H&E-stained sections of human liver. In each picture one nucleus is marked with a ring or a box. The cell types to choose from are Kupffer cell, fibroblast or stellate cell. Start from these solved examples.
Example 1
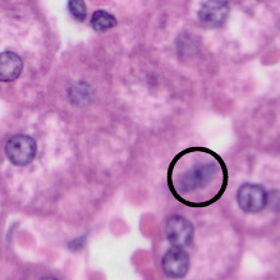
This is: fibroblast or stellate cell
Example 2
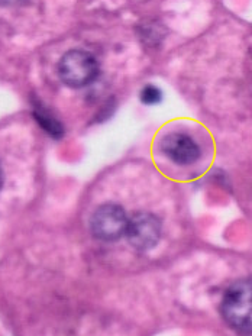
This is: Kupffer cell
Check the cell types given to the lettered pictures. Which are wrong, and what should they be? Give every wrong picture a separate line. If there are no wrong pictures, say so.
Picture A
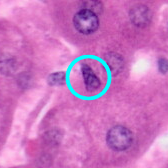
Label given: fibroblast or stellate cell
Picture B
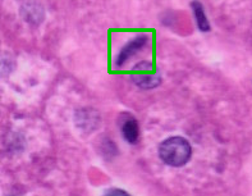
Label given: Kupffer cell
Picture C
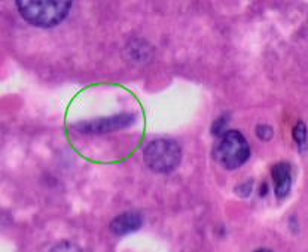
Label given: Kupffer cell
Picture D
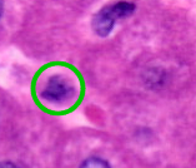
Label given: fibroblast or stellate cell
B is labelled Kupffer cell; correct label: fibroblast or stellate cell
D is labelled fibroblast or stellate cell; correct label: Kupffer cell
